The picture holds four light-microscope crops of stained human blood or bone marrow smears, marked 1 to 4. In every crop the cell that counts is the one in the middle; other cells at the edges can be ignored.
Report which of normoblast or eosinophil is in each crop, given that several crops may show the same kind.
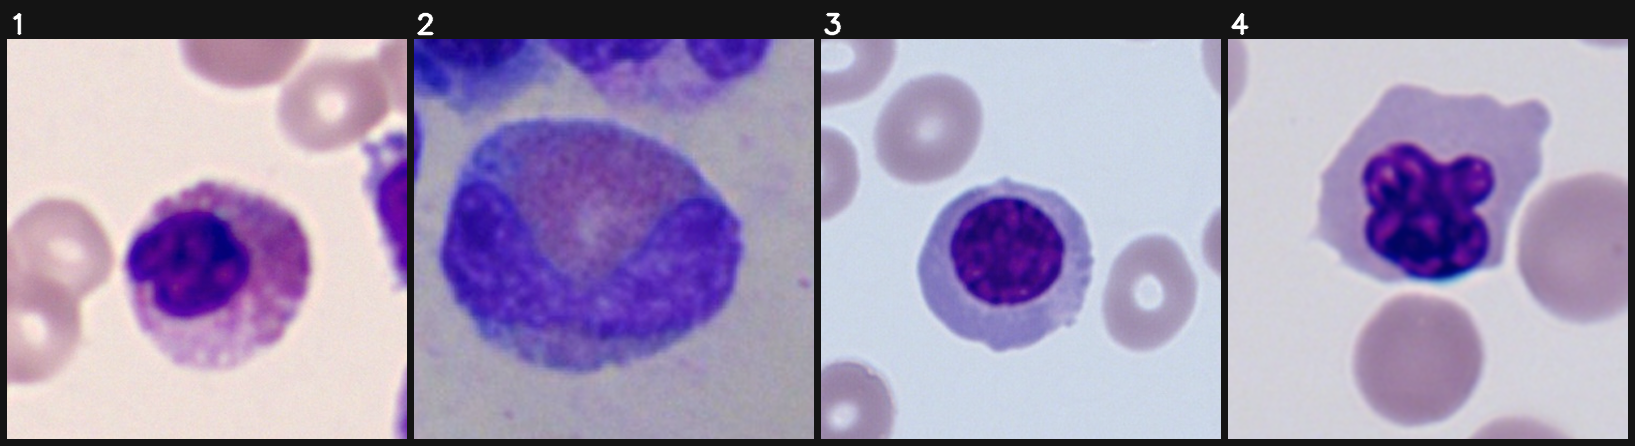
1: eosinophil
2: eosinophil
3: normoblast
4: normoblast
